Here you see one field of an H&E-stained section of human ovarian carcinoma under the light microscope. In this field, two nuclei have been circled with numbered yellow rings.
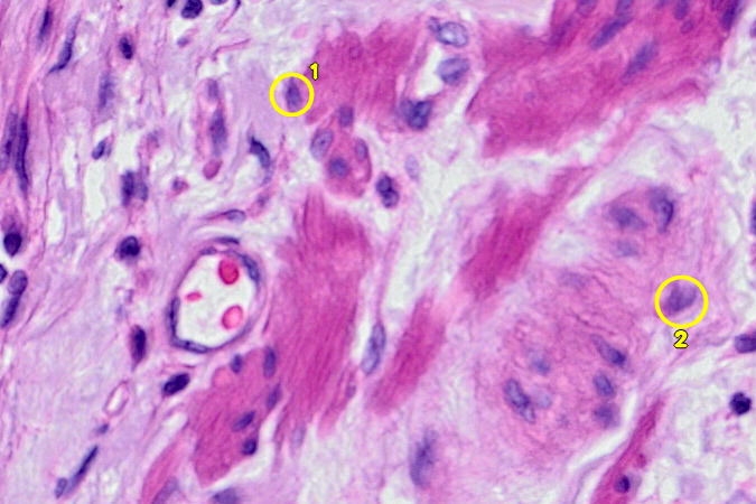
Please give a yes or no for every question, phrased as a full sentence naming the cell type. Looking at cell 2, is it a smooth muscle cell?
No, cell 2 does not count as a smooth muscle cell; it is a fibroblast.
